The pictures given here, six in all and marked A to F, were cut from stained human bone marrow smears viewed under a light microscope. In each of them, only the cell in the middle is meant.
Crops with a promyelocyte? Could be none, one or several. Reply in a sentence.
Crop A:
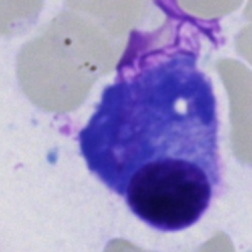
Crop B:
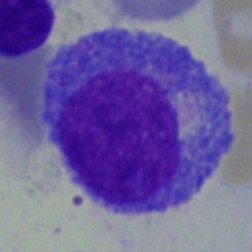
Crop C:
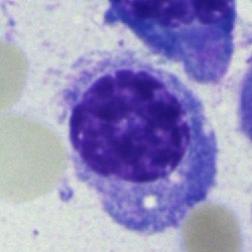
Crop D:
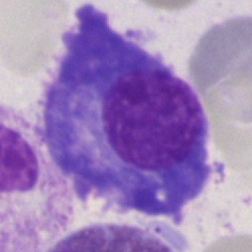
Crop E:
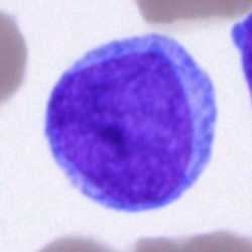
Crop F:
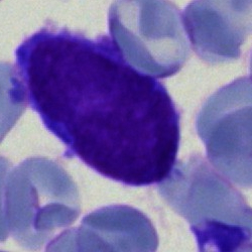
Check crop B; it is the only crop that has a promyelocyte.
